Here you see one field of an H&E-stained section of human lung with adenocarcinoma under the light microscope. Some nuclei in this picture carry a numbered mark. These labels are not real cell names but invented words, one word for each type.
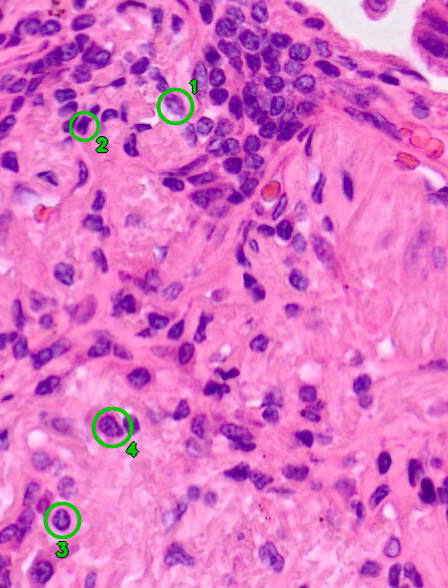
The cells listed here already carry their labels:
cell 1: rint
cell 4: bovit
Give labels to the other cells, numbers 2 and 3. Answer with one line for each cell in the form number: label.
2: rint
3: rint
